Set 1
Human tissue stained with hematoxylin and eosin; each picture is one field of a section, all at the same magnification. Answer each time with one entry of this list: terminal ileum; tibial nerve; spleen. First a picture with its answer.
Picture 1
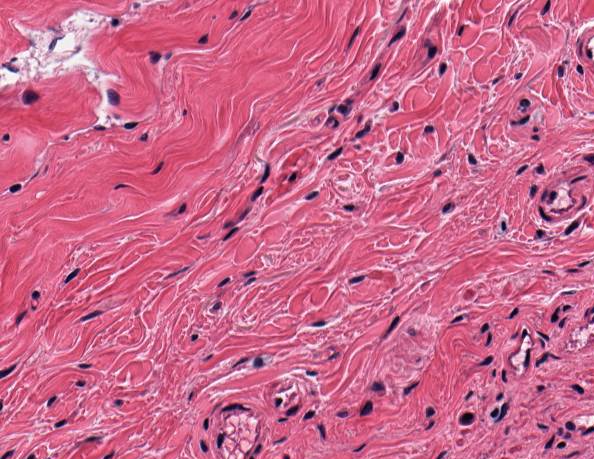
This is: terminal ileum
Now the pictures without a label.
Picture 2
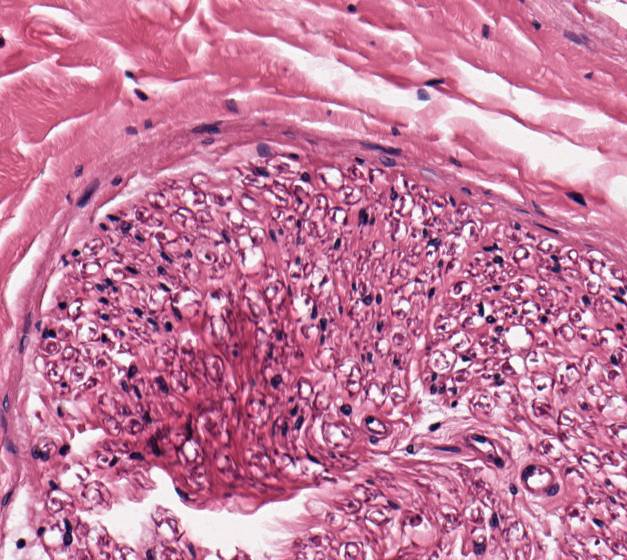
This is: tibial nerve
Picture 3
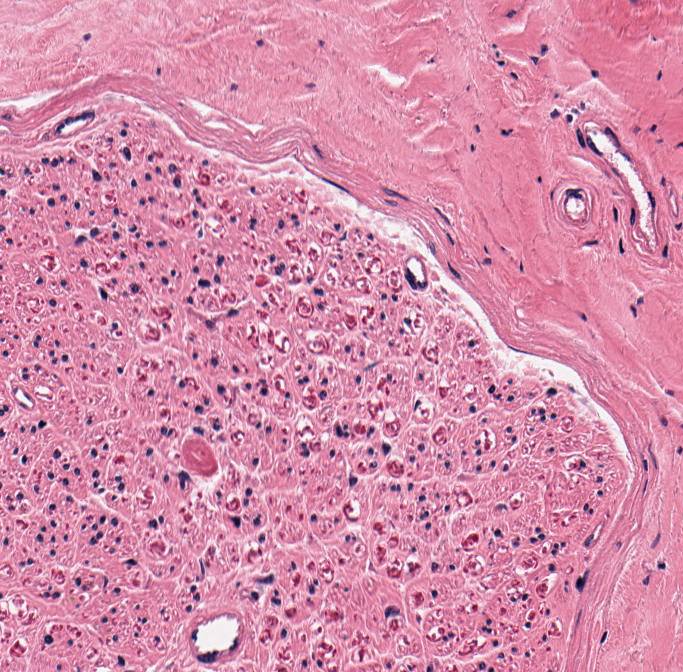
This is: tibial nerve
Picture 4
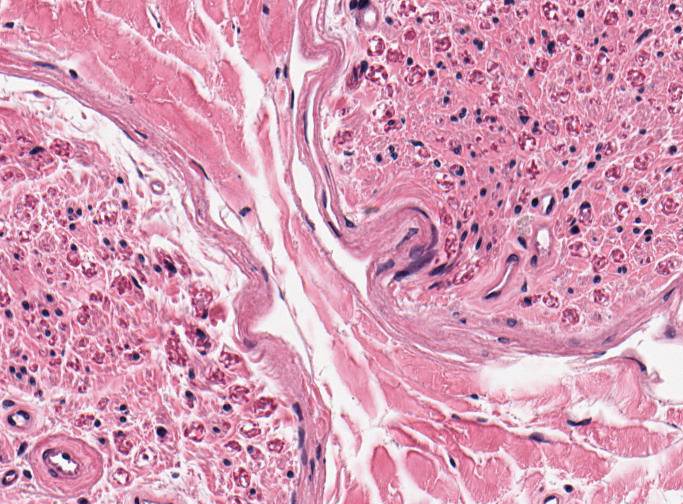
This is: tibial nerve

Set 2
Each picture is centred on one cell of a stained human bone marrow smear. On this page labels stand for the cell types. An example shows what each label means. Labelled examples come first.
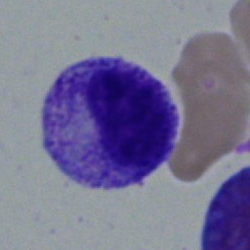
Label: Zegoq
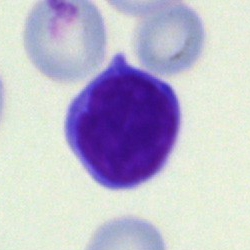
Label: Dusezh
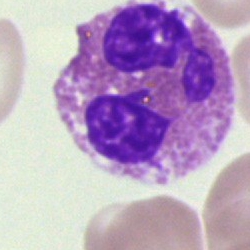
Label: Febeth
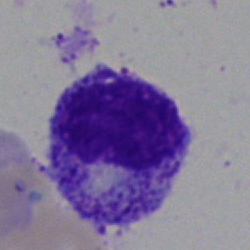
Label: Zegoq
